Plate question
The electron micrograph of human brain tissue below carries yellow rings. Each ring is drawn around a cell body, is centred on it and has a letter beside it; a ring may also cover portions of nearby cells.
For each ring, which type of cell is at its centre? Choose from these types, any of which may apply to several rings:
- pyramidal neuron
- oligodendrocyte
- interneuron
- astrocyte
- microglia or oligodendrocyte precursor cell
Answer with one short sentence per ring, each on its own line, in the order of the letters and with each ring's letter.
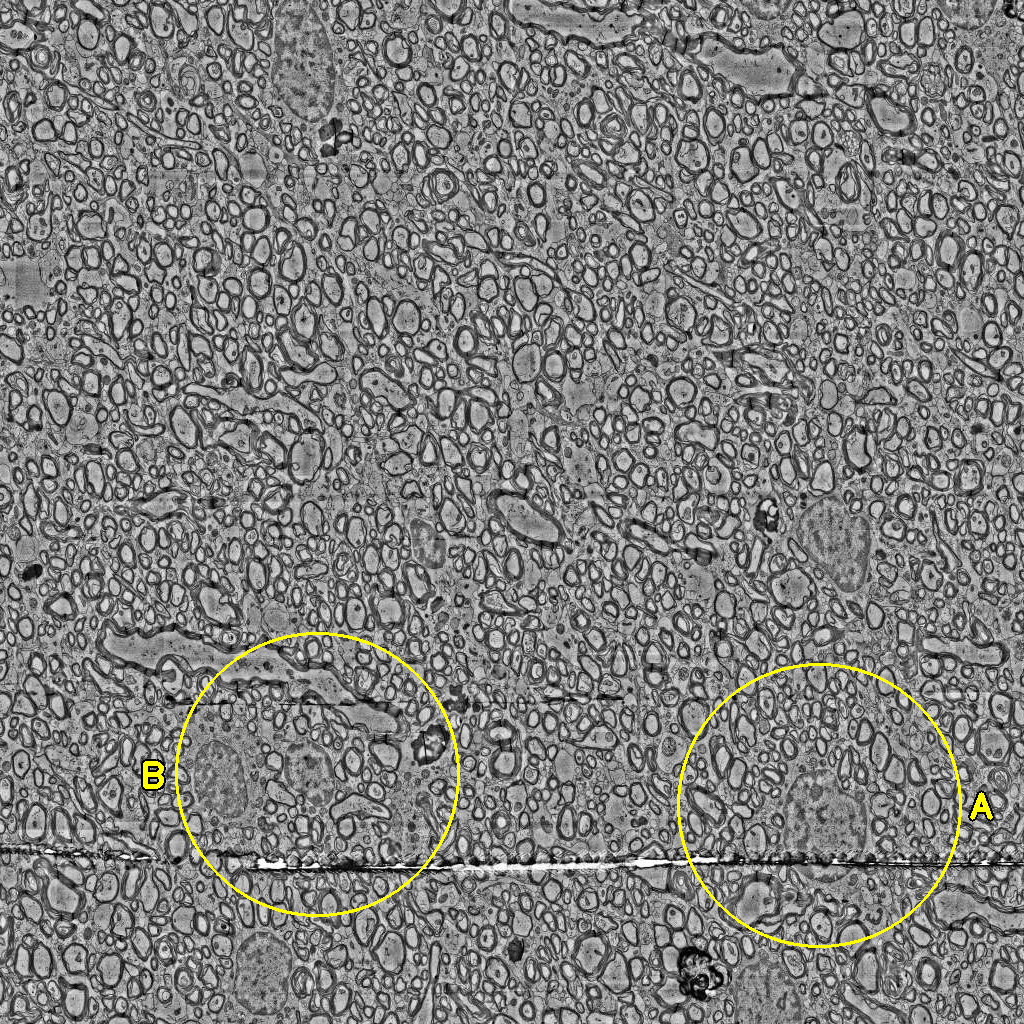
The cell ringed as A is an oligodendrocyte.
The cell ringed as B is a microglial cell or oligodendrocyte precursor cell.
